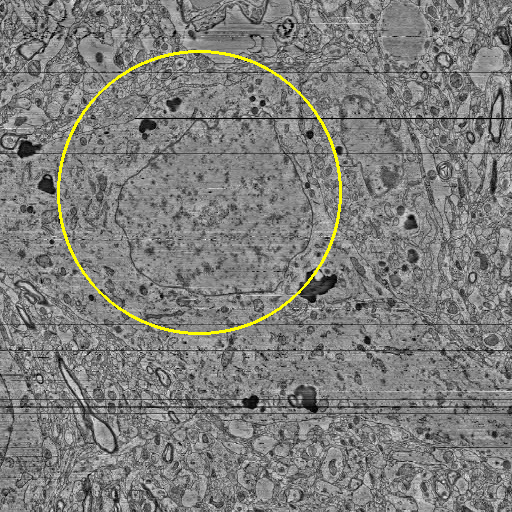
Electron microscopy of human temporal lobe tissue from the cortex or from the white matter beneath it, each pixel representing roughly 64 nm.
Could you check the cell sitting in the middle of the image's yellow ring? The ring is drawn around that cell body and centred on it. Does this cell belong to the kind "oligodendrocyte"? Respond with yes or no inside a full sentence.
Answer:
No, this cell in the middle of the yellow ring is one of a different kind.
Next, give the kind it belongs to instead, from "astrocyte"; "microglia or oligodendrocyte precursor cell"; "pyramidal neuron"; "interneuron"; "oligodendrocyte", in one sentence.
This picture has a pyramidal neuron at the centre of its ring.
